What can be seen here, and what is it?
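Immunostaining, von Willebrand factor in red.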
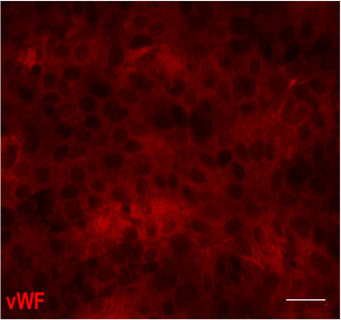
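Endothelial cells form a dense, continuous monolayer of closely packed polygonal cells. Each cell shows a dark, round to oval nucleus surrounded by red-stained cytoplasm, with staining brighter in some patches of the field.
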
